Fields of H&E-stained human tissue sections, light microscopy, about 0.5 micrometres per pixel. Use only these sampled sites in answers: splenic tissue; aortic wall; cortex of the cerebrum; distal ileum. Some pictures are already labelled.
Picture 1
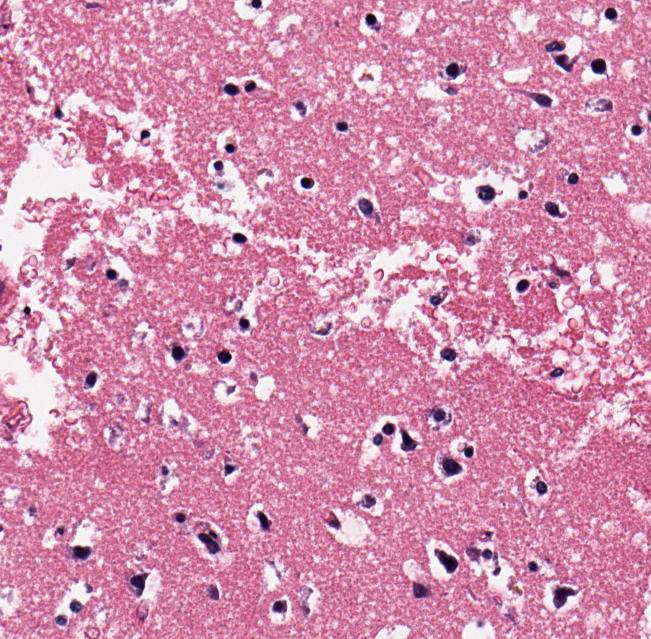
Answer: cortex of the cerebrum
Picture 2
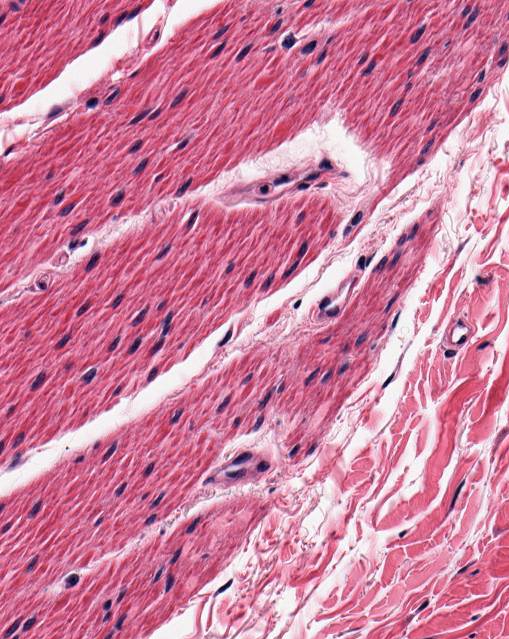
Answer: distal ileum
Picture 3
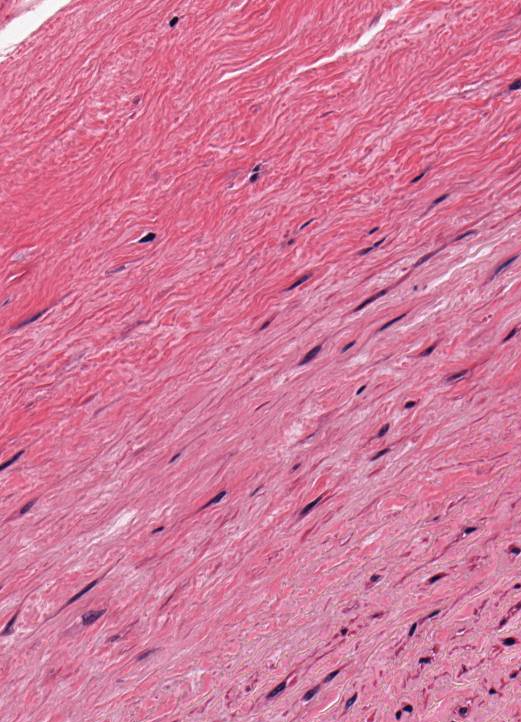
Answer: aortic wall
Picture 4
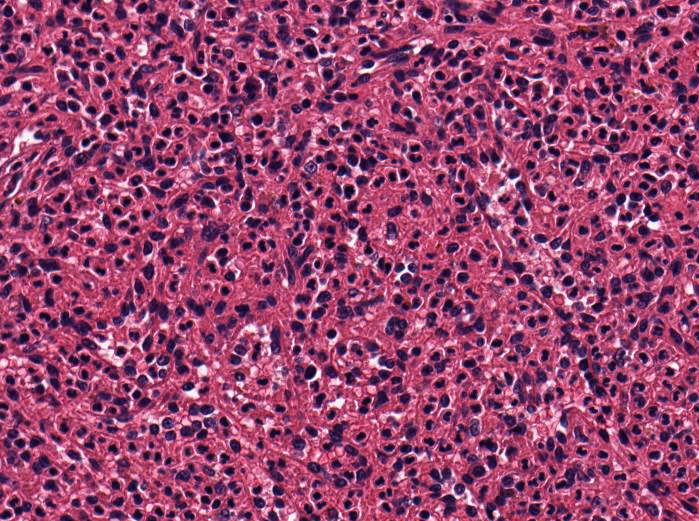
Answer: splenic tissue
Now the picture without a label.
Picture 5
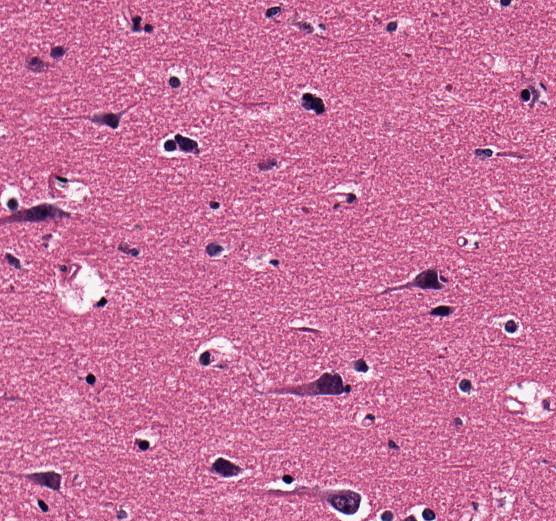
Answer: cortex of the cerebrum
